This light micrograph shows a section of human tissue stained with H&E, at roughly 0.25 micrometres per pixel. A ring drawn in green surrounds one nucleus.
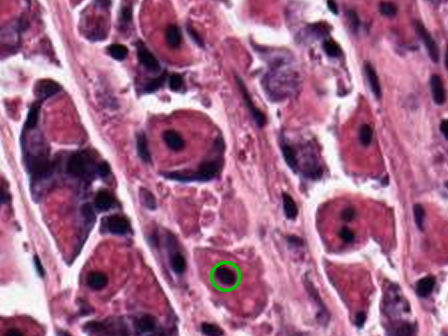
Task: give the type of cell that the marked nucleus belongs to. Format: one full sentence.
The nucleus singled out by the mark belongs to a parietal cell.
